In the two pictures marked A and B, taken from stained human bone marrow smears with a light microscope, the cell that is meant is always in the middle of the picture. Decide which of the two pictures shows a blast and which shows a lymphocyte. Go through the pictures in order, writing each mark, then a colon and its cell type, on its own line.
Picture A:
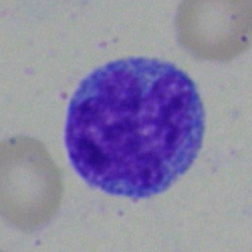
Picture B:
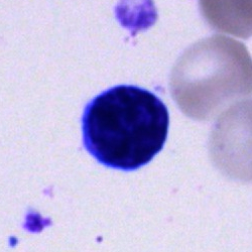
A: blast
B: lymphocyte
